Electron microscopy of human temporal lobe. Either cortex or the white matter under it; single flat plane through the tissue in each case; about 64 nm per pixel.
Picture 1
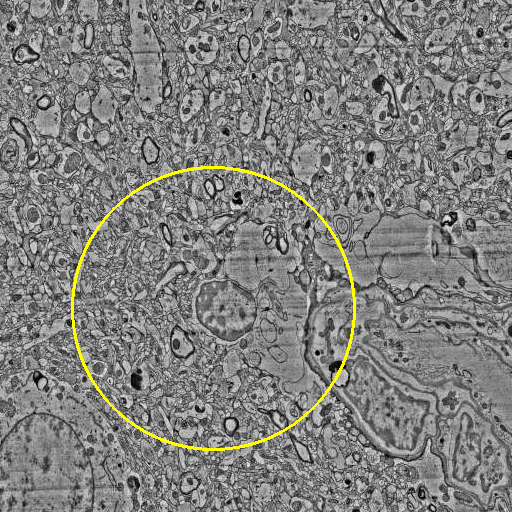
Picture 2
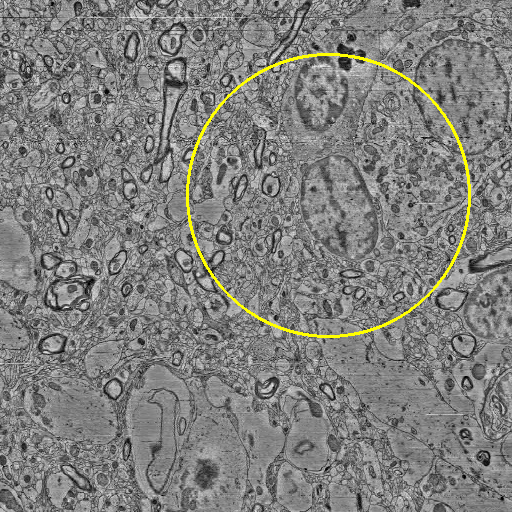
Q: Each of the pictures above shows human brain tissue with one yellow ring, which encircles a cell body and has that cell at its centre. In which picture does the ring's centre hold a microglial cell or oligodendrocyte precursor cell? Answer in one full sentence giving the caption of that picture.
Picture 1 is the one whose ring is centred on the cell in question.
